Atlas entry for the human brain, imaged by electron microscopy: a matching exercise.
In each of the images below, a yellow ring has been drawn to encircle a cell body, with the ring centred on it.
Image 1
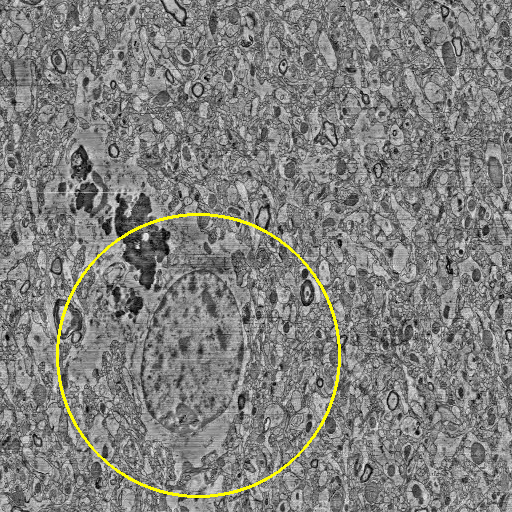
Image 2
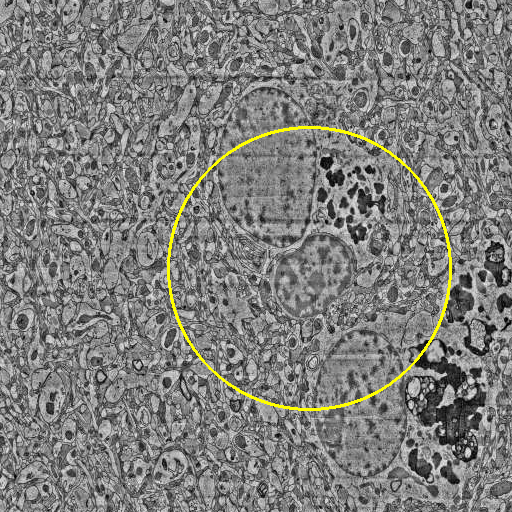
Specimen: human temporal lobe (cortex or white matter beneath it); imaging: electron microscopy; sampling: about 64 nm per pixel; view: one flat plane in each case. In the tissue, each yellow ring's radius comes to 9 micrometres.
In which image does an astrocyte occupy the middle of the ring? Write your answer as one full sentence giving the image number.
In image 1, the ring is centred on the cell in question.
